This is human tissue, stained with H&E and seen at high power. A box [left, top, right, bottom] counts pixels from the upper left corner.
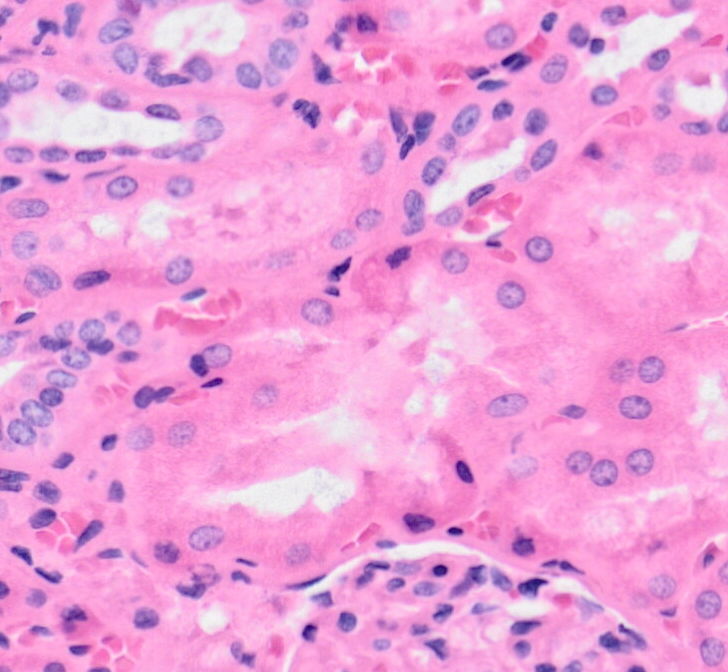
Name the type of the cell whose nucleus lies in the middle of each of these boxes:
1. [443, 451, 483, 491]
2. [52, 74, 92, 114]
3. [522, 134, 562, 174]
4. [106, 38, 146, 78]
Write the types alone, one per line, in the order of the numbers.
proximal tubule cell
loop of Henle or distal tubule cell
collecting duct cell
collecting duct cell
